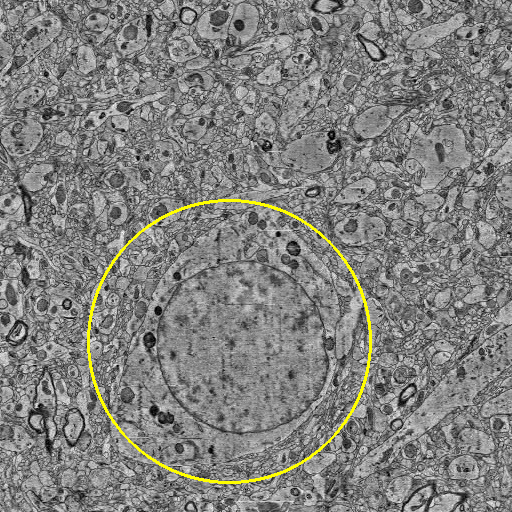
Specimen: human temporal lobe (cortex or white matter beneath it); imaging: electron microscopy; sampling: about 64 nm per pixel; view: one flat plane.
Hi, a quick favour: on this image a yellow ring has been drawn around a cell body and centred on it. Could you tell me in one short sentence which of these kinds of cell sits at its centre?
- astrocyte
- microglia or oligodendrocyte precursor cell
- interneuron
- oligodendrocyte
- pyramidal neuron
The ring is centred on a pyramidal neuron.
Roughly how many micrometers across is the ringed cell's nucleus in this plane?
About 12 micrometres across in this plane.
